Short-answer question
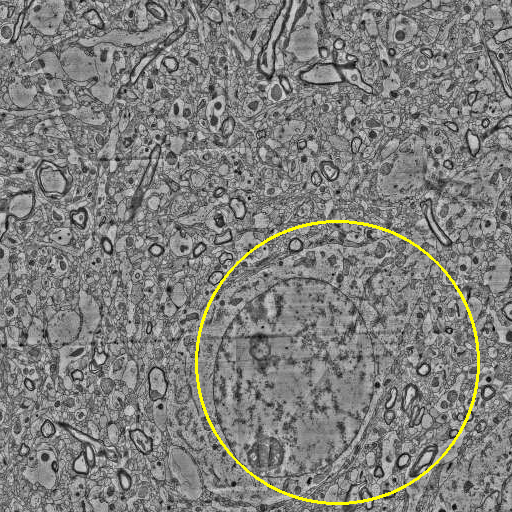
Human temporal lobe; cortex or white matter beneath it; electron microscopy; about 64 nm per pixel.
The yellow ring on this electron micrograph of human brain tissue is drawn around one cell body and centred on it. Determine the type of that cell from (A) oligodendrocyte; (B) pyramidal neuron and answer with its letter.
B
